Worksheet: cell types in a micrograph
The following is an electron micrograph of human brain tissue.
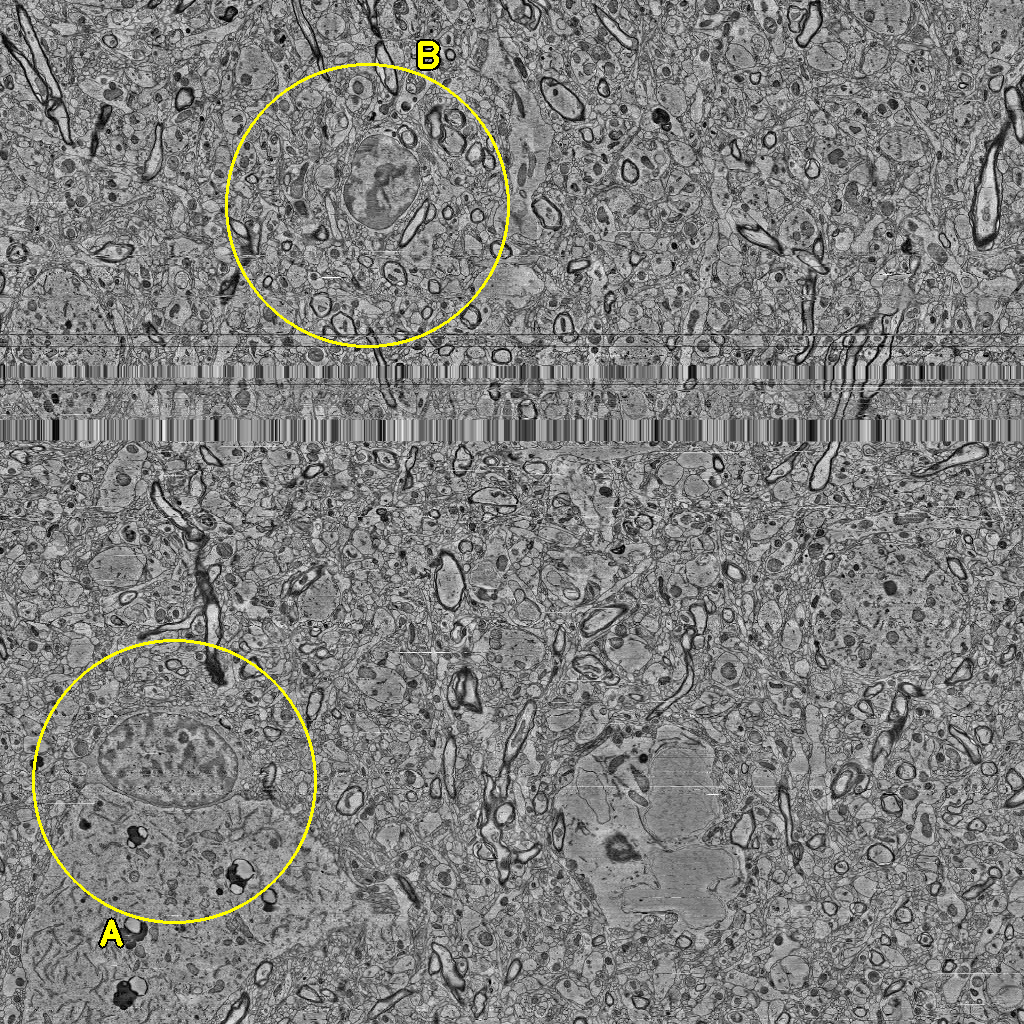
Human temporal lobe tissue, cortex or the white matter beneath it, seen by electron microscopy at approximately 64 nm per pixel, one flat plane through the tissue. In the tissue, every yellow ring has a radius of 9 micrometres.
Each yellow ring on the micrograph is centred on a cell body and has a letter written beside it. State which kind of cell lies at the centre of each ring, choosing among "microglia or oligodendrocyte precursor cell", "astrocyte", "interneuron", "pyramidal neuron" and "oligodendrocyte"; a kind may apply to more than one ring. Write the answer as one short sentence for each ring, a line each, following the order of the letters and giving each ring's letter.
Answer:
Ring A has an oligodendrocyte in its centre.
Ring B has a microglial cell or oligodendrocyte precursor cell in its centre.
